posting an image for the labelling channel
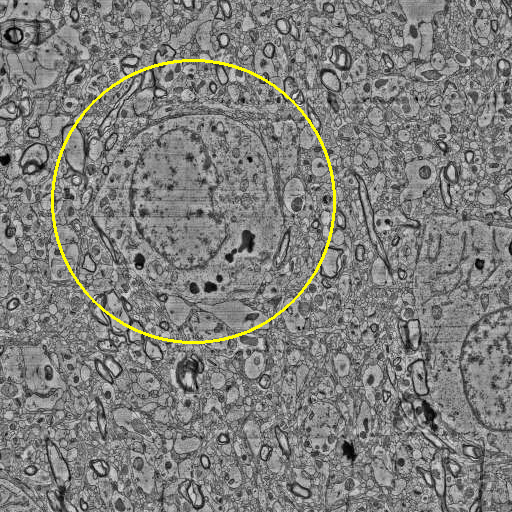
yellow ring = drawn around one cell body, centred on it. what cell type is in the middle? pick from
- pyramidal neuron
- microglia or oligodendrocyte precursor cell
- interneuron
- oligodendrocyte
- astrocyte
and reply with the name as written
interneuron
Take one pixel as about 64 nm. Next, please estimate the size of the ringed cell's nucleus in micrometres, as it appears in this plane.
Roughly 9 micrometres by 7 micrometres, in this plane.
